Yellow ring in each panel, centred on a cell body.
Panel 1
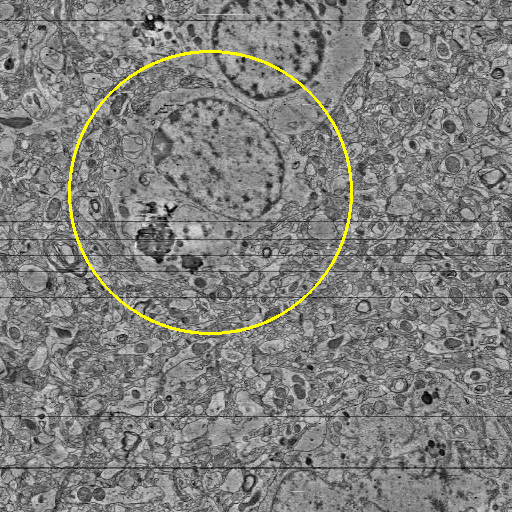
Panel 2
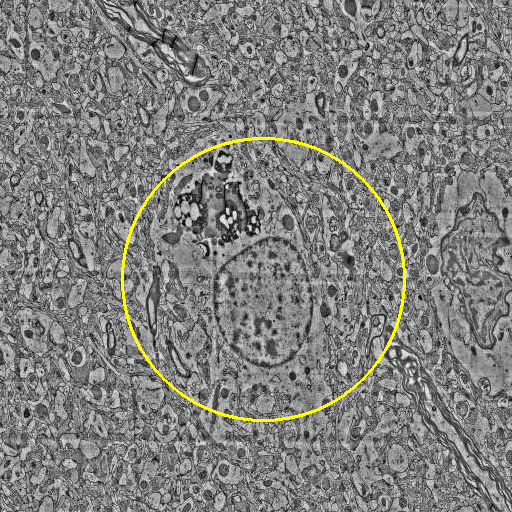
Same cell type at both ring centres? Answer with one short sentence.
Yes, both cells are of the same type.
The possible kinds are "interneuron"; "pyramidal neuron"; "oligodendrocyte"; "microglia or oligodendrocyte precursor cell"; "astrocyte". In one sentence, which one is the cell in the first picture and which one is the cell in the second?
Each of the two pictures has an astrocyte at the ring centre.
